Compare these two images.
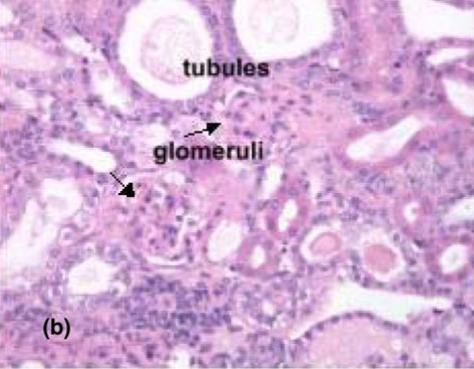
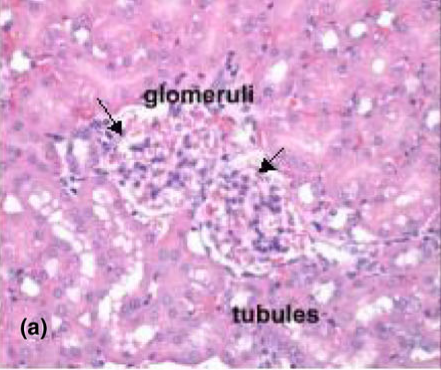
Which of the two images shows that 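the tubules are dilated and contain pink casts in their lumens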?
the first image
